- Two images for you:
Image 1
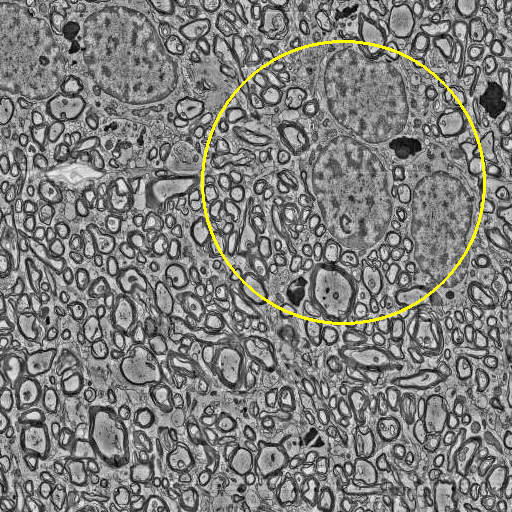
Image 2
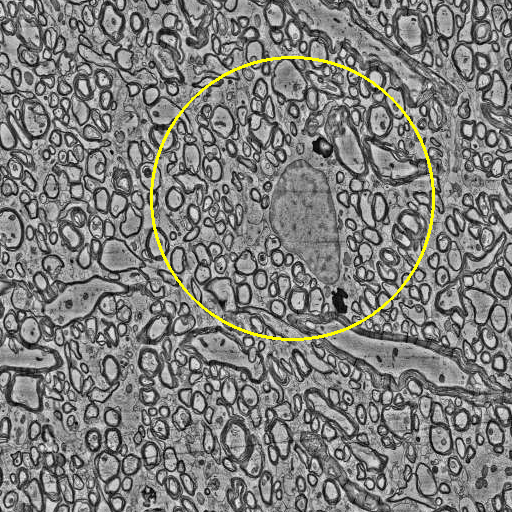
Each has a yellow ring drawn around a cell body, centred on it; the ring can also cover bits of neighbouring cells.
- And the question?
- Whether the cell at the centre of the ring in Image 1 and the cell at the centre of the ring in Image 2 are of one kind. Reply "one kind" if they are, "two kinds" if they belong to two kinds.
one kind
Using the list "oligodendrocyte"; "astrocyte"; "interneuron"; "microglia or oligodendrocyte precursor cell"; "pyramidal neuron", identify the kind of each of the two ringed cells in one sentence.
Each of the two cells is an oligodendrocyte.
